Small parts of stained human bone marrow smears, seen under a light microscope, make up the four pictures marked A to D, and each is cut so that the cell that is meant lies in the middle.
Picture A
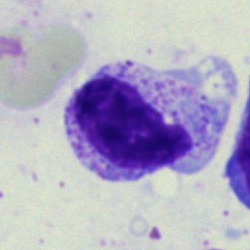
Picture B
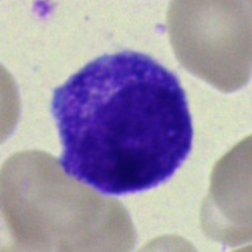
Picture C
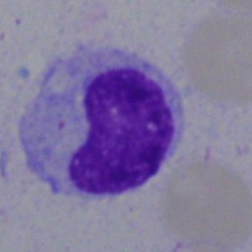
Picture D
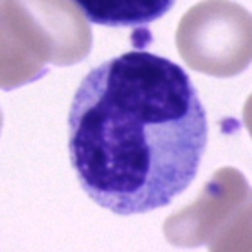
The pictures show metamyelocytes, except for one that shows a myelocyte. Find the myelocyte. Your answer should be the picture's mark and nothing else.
B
